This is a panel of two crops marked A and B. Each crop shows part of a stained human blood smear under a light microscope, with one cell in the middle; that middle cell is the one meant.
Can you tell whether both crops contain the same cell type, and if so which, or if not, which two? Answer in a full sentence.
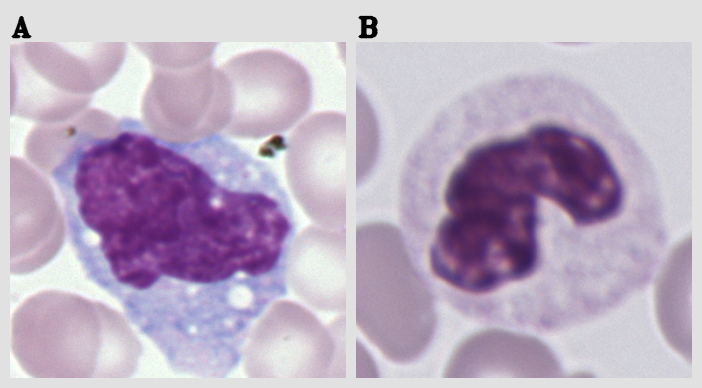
No, cell A is a monocyte, and cell B is a segmented neutrophil.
